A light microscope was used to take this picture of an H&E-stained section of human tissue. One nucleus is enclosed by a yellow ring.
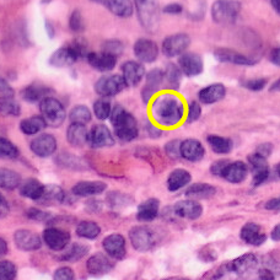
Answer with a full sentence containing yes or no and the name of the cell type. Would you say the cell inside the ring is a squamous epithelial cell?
No, the cell inside the ring is typed as a lymphocyte rather than as a squamous epithelial cell.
